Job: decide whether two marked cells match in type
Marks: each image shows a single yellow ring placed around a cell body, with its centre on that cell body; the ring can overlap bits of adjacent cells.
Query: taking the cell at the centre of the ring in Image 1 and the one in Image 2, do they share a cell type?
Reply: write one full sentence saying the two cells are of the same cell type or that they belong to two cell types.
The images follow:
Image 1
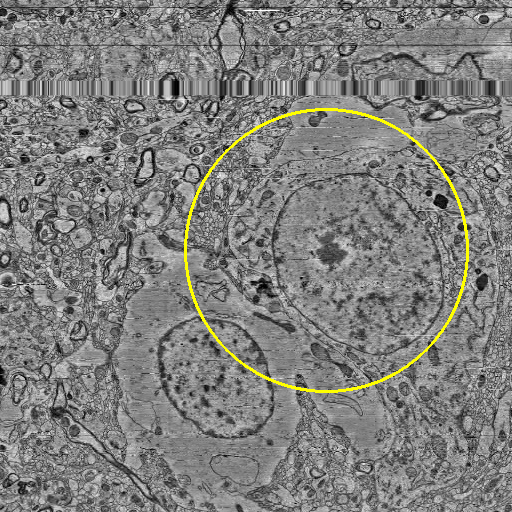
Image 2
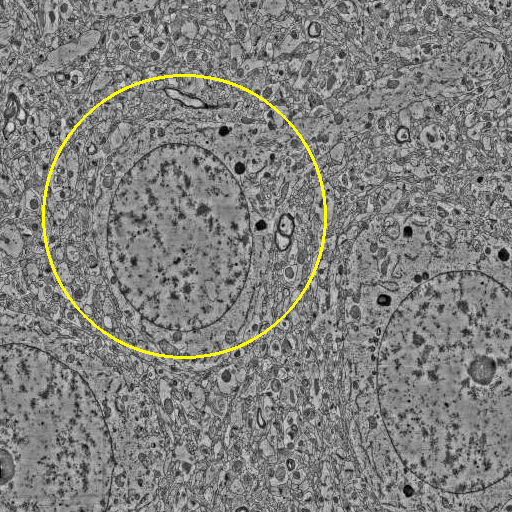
The cells at the ring centres in Image 1 and Image 2 are of the same cell type.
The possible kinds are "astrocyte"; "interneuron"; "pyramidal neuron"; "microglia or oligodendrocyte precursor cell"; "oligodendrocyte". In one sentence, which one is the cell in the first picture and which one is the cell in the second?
The cell at the ring centre is a pyramidal neuron in both pictures.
